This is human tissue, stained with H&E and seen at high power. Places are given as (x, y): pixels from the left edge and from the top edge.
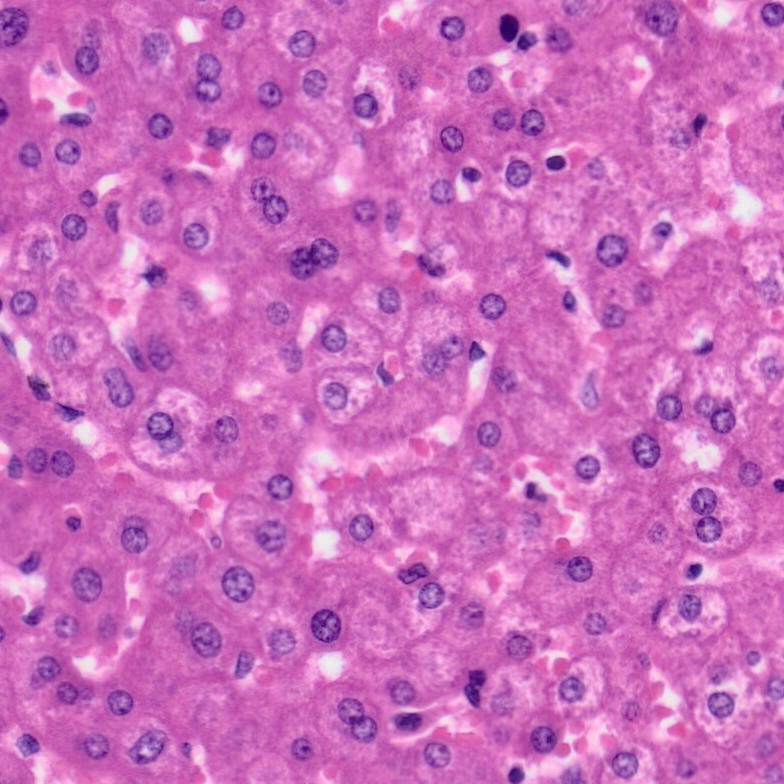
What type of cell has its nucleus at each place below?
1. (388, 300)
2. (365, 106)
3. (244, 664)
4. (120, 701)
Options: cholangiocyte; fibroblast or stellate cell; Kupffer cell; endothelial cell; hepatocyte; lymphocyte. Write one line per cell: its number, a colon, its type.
1: hepatocyte
2: hepatocyte
3: endothelial cell
4: hepatocyte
